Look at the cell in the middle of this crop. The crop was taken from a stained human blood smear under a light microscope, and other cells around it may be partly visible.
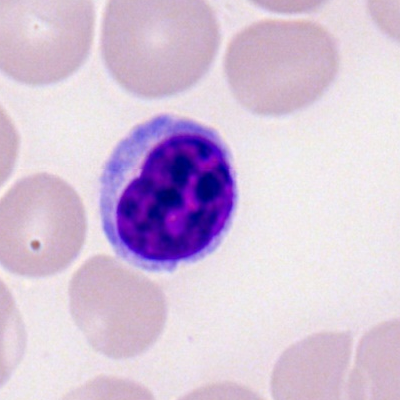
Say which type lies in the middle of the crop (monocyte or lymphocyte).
lymphocyte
